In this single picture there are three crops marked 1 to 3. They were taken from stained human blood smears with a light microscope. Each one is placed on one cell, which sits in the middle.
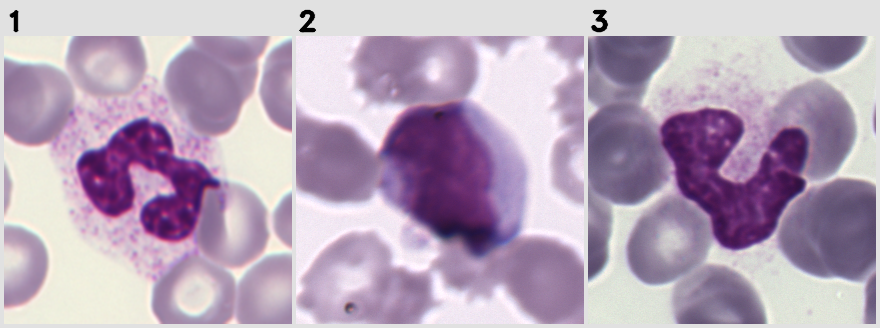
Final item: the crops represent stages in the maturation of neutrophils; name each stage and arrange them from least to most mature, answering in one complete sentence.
Placed in order from least to most mature, they run crop 2 (a myeloblast), crop 3 (a band neutrophil) and crop 1 (a segmented neutrophil).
